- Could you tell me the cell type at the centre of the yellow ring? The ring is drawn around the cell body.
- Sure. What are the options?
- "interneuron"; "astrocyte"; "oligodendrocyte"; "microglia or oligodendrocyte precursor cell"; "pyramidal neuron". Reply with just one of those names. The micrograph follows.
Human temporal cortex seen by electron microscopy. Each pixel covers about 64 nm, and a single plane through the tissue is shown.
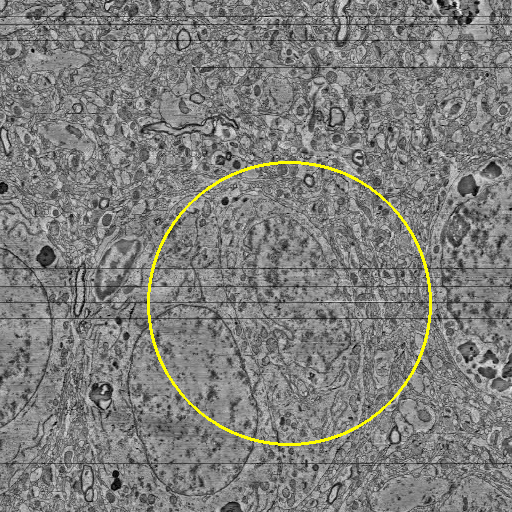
interneuron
